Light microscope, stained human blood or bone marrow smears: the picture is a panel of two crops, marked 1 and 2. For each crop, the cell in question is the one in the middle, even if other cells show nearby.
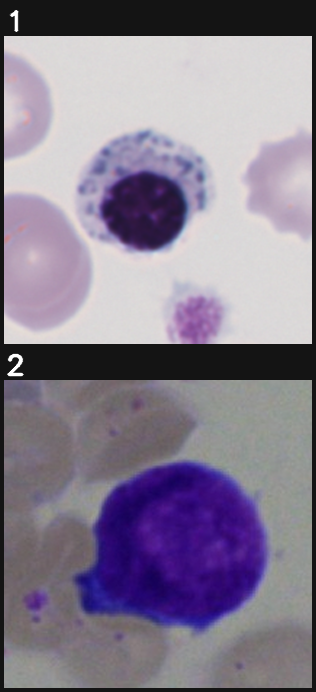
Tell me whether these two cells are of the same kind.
no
